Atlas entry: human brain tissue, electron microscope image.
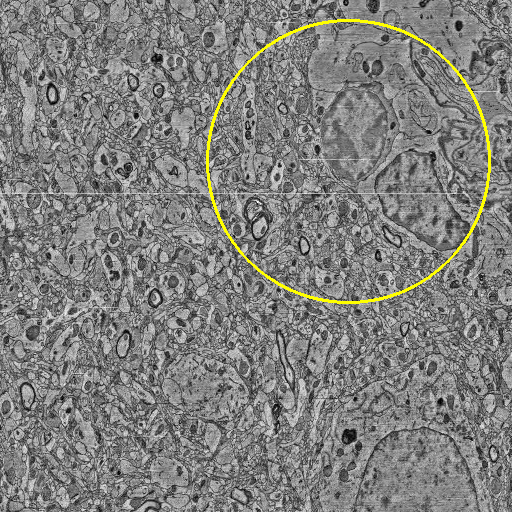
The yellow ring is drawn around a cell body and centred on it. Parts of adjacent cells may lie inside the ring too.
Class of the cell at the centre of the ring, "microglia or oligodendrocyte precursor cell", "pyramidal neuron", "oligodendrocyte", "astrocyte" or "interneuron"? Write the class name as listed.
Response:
oligodendrocyte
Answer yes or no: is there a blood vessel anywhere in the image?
Yes, there is one.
